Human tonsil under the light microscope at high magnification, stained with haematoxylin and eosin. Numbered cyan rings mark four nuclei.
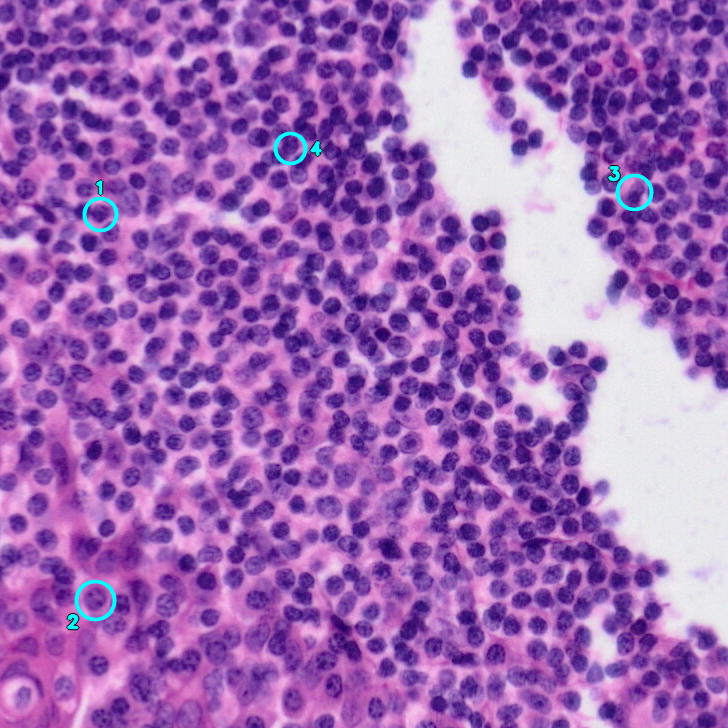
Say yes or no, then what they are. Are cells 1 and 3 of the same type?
Yes, cells 1 and 3 both fall under small lymphocytes.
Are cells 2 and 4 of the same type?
No, the cell bearing number 2 is a plasma cell, while the one bearing number 4 is a small lymphocyte.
